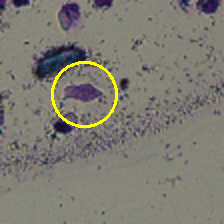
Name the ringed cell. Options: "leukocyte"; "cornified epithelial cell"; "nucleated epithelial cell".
cornified epithelial cell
